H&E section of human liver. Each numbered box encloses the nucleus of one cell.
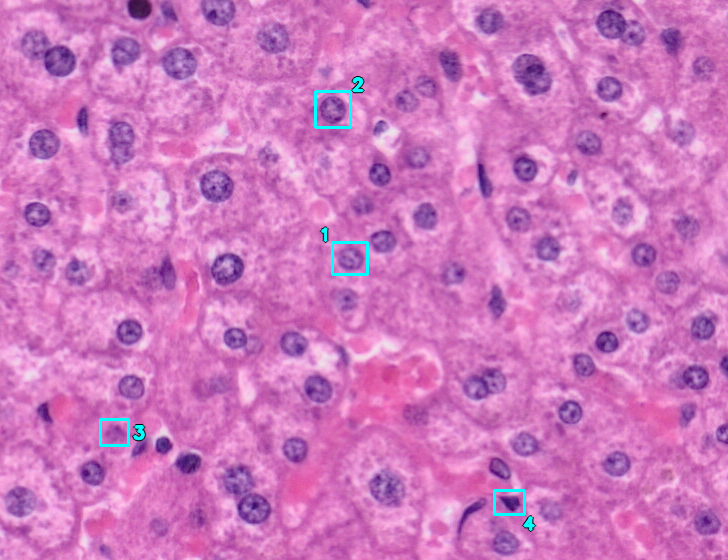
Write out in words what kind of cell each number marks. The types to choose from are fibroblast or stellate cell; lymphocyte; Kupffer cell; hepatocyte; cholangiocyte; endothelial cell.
Cell 1 is a hepatocyte, cell 2 is a hepatocyte, cell 3 is a hepatocyte and cell 4 is a fibroblast or stellate cell.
